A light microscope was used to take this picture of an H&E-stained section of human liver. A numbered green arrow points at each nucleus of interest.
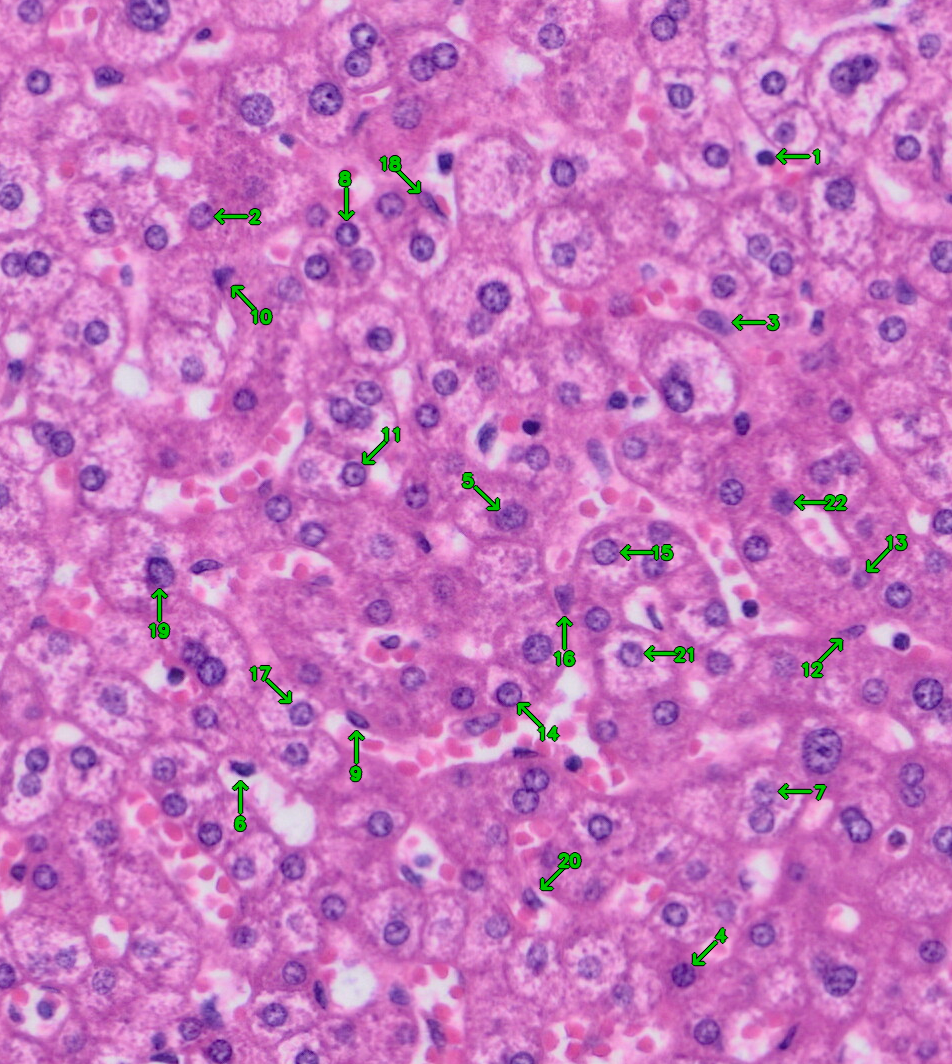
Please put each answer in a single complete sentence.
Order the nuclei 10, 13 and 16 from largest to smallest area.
The nuclei rank 16, 10, 13, from largest to smallest.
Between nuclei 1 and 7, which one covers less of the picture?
With nucleus 7 about 2 times its size, nucleus 1 is the smaller of the two.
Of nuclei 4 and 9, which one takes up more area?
Of the two, number 4 is bigger and takes up about 2 times the area of number 9.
